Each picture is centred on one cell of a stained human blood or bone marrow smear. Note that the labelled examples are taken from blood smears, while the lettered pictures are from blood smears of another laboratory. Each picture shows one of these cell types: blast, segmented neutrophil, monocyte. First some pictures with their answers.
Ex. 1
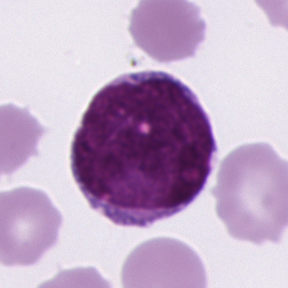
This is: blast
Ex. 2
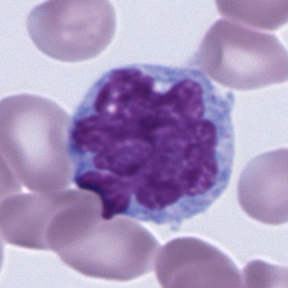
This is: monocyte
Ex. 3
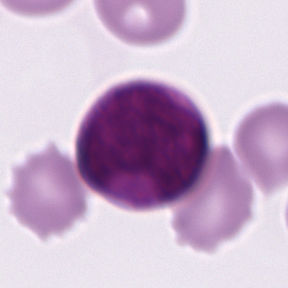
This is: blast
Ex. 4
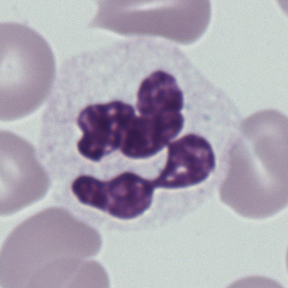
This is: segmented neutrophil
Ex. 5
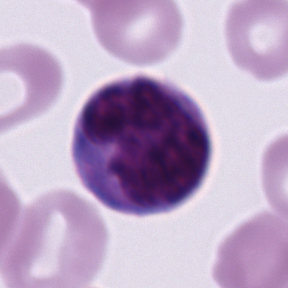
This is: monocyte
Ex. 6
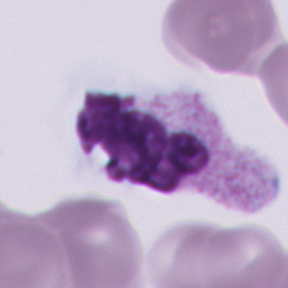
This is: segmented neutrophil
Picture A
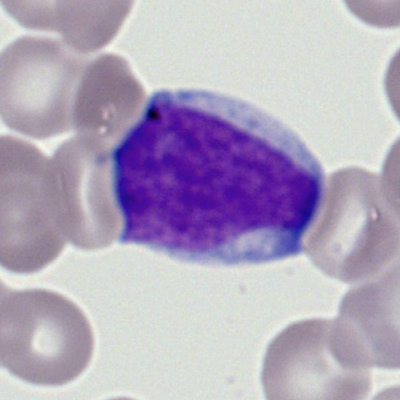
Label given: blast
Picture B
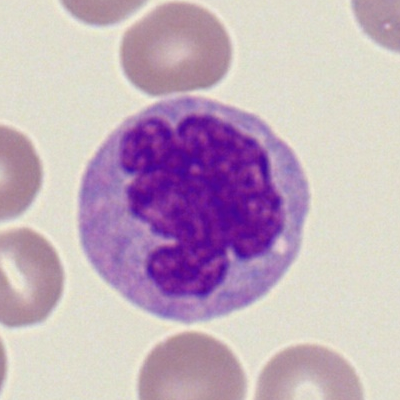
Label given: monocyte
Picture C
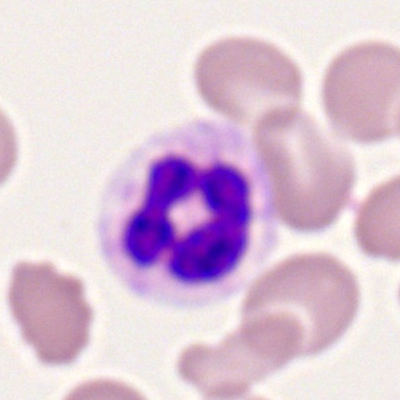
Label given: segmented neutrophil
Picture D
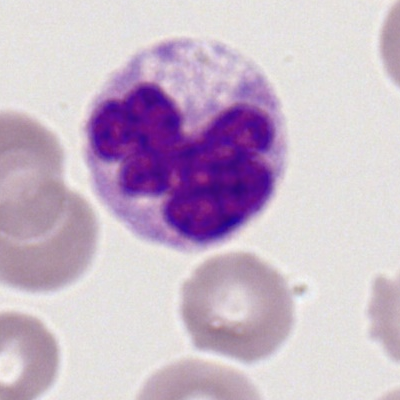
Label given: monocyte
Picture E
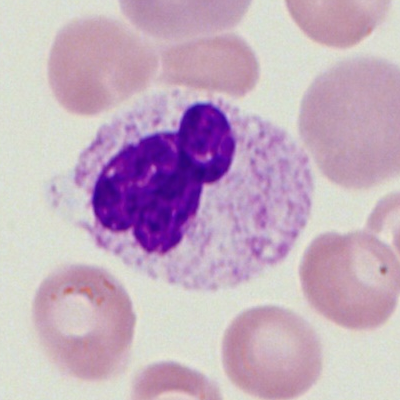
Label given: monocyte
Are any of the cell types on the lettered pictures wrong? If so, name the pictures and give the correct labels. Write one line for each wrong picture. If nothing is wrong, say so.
E: segmented neutrophil, not monocyte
